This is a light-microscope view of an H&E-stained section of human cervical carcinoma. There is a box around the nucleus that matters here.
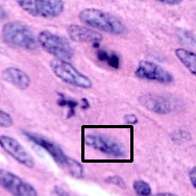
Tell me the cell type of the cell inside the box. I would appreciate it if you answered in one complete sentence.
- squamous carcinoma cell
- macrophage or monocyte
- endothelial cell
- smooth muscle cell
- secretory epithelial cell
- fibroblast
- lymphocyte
Right, so the cell inside the box is a squamous carcinoma cell, to answer that.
